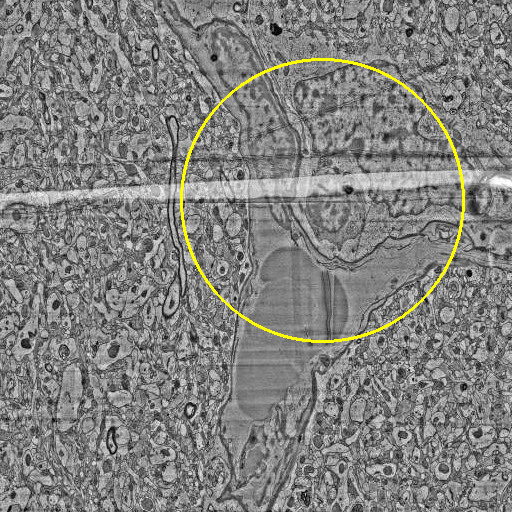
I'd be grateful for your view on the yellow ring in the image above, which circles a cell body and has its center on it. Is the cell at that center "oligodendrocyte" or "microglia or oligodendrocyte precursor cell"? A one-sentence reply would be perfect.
The cell at the center of the yellow ring is an oligodendrocyte.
